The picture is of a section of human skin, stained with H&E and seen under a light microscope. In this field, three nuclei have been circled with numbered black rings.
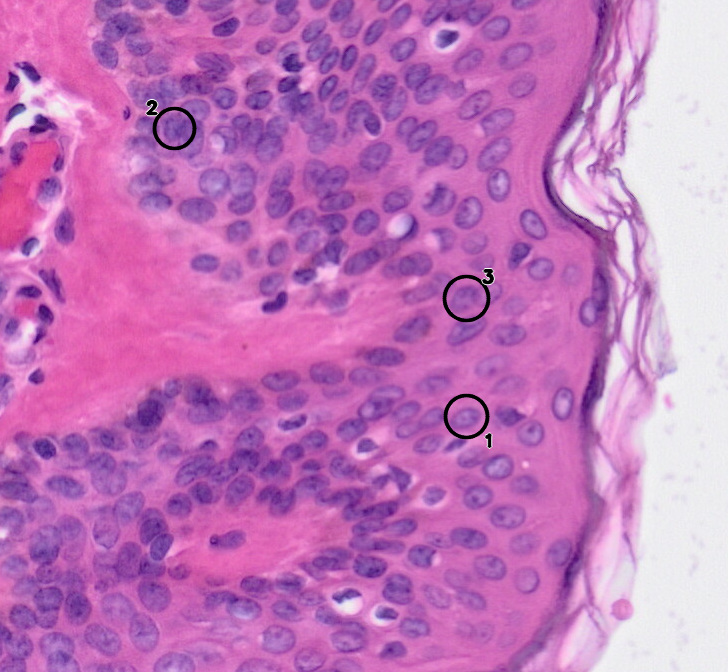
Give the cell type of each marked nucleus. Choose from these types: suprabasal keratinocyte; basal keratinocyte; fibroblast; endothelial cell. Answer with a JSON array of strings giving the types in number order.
["suprabasal keratinocyte", "basal keratinocyte", "suprabasal keratinocyte"]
